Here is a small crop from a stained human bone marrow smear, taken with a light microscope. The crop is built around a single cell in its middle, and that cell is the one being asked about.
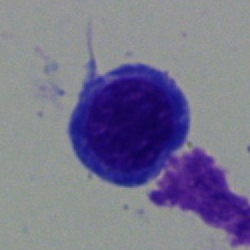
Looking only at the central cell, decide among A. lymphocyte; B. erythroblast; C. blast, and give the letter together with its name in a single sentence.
The right choice is option B: the cell in the middle is an erythroblast.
